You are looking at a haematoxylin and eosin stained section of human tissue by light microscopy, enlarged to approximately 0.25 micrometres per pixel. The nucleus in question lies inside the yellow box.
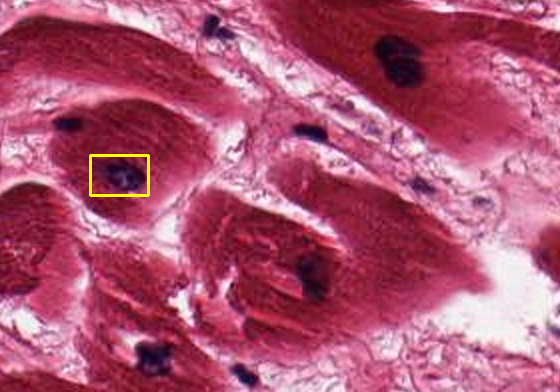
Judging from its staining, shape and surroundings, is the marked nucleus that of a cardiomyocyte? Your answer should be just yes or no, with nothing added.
yes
